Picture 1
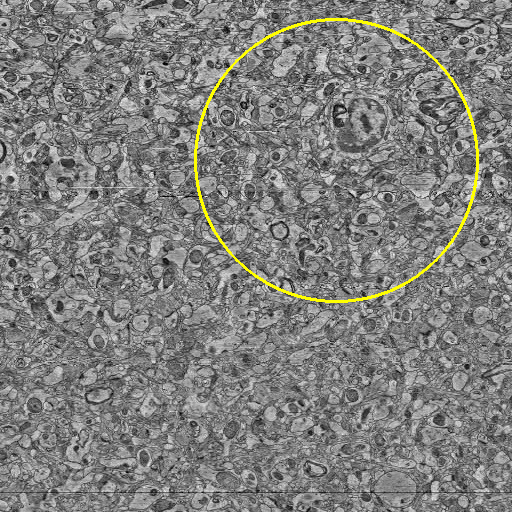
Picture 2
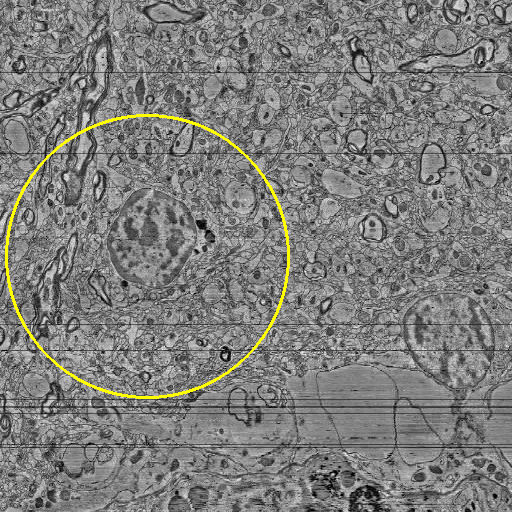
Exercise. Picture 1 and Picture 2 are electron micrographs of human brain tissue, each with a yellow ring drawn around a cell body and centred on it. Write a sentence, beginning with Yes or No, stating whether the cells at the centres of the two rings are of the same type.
Yes, the cells at the centres of both rings are of the same type.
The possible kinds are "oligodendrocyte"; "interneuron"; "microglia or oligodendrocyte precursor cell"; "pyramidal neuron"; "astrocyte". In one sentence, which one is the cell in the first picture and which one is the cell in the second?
Each cell at the centre of a ring is a microglial cell or oligodendrocyte precursor cell.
